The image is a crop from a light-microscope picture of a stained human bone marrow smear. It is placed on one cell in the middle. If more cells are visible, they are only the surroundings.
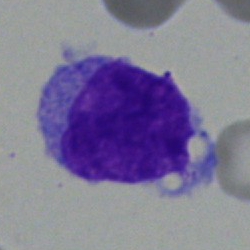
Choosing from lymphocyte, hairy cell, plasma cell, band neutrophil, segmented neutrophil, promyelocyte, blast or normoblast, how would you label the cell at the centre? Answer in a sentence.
By type, the central cell of the crop is a blast.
